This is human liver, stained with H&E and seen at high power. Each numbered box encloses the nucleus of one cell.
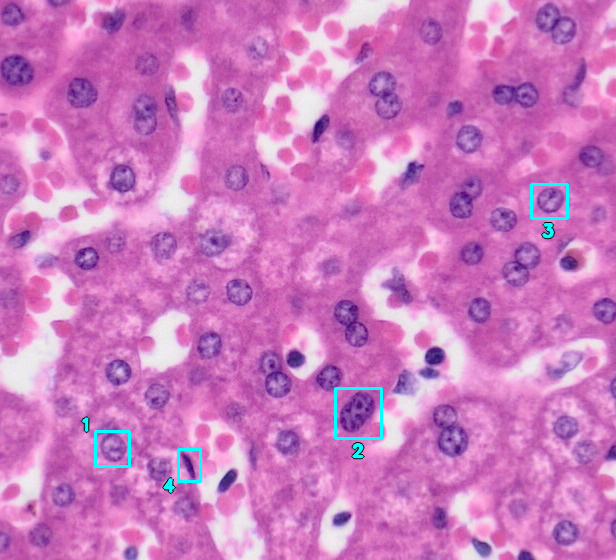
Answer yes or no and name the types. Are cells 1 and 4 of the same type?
No, cell 1 is recognized as a hepatocyte, and cell 4 as a fibroblast or stellate cell.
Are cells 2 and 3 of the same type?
Yes, going by number, cells 2 and 3 are both hepatocytes.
